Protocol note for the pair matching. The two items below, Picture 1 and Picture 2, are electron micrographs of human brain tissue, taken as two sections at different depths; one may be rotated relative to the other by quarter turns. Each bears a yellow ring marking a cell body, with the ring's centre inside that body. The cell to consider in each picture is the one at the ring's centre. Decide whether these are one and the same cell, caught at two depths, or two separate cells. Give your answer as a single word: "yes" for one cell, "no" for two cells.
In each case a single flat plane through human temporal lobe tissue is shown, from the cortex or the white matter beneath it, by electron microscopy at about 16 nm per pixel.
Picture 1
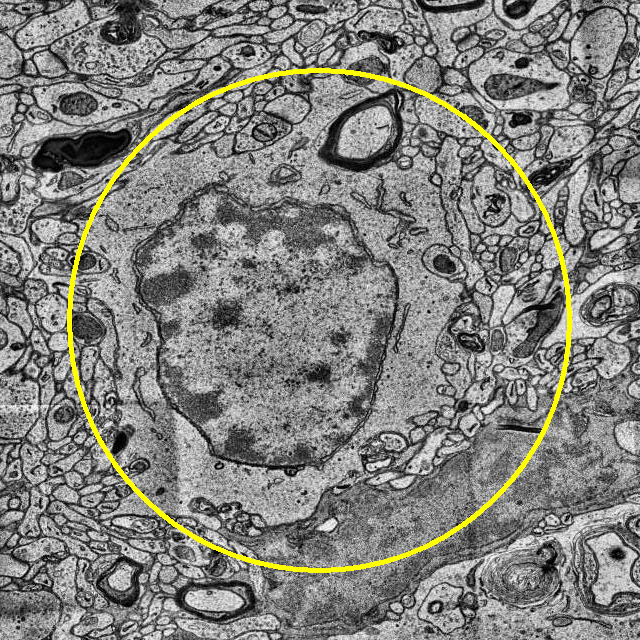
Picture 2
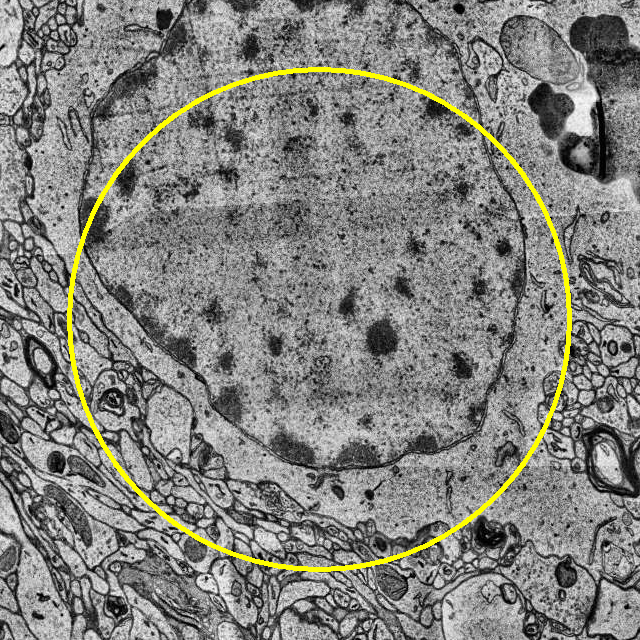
yes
